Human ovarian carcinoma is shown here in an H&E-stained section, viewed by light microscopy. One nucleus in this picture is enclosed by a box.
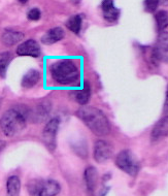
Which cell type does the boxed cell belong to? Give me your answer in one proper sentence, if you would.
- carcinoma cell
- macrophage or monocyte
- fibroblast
For the purposes of cell typing, the boxed cell is categorized as a carcinoma cell.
